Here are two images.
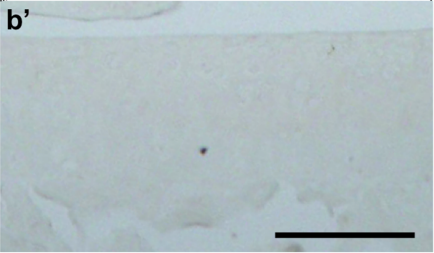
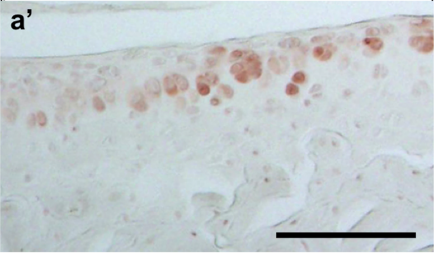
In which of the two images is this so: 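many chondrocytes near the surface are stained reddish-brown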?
The second image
